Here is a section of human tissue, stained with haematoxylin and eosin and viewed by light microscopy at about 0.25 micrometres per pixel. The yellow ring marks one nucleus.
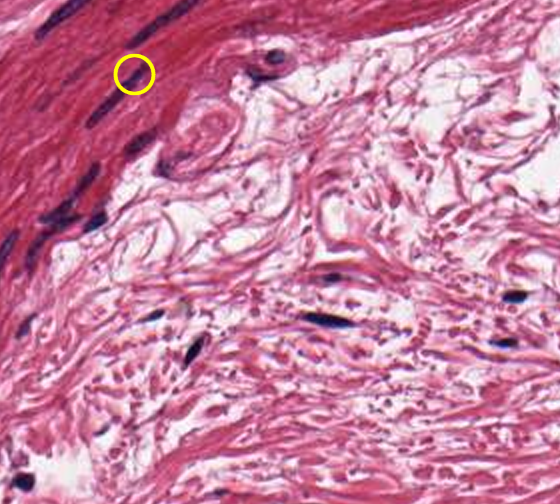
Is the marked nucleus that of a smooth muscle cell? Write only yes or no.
yes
